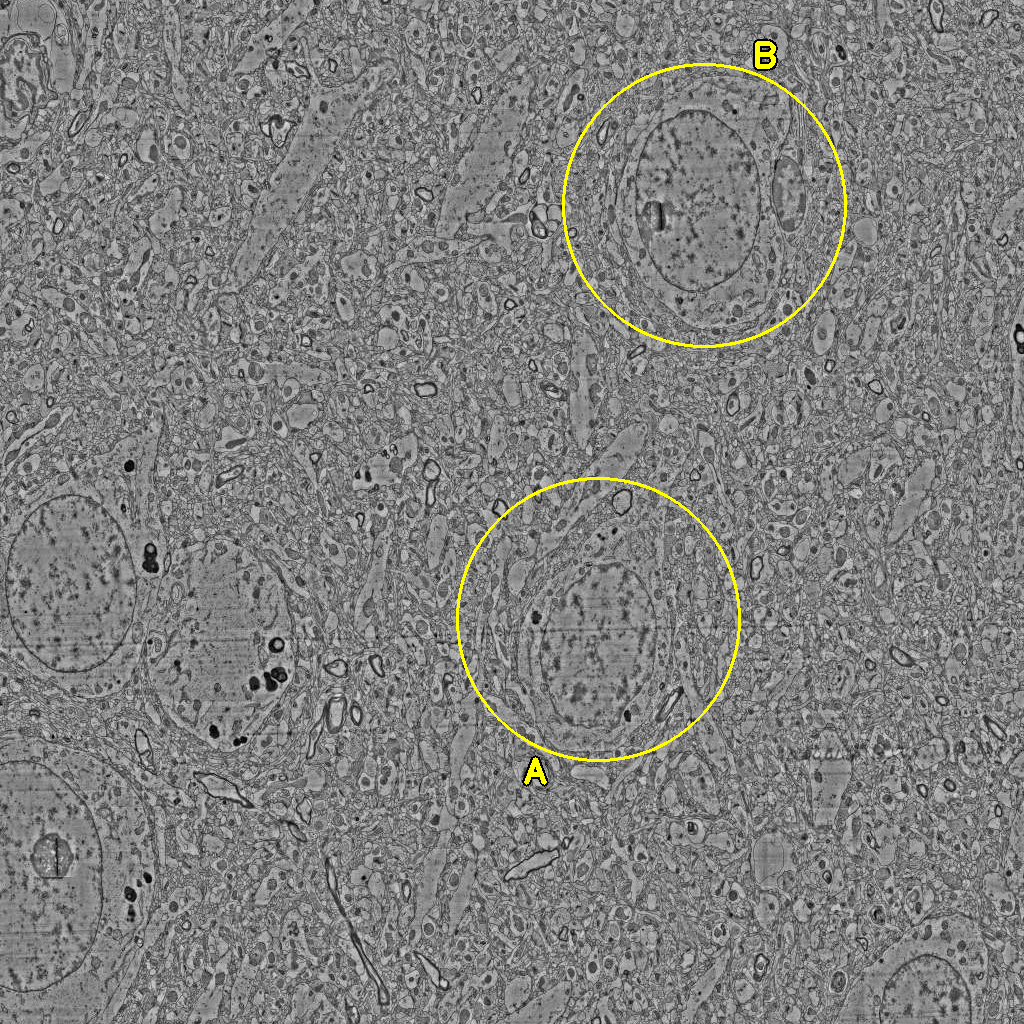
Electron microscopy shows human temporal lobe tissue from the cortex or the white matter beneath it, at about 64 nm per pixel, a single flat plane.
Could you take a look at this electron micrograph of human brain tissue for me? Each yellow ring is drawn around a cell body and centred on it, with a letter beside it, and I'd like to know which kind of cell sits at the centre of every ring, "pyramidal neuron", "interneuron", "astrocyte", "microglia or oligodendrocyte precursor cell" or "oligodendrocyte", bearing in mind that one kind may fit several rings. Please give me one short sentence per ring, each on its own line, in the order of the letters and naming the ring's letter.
Ring A is centred on an interneuron.
Ring B is centred on a pyramidal neuron.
